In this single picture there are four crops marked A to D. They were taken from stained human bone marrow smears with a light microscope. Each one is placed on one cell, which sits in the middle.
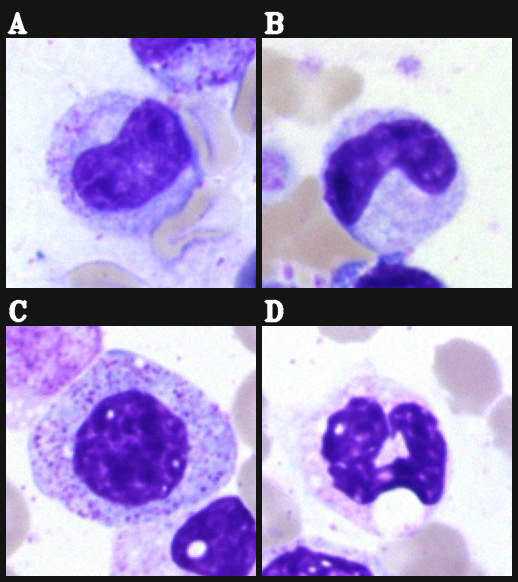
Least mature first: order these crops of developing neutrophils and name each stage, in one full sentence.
Taken from least to most mature, the sequence is crop C (a myelocyte), crop A (a metamyelocyte), crop B (a band neutrophil) and crop D (a segmented neutrophil).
